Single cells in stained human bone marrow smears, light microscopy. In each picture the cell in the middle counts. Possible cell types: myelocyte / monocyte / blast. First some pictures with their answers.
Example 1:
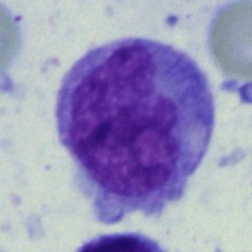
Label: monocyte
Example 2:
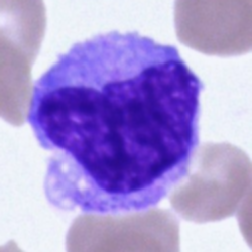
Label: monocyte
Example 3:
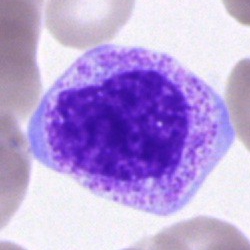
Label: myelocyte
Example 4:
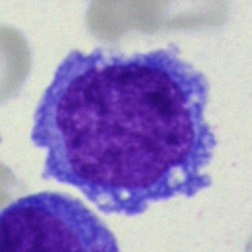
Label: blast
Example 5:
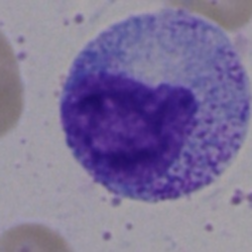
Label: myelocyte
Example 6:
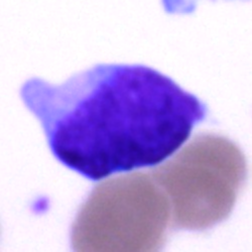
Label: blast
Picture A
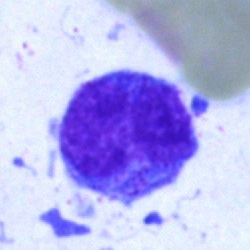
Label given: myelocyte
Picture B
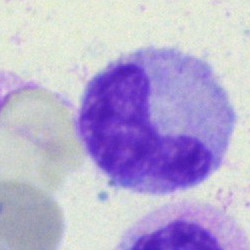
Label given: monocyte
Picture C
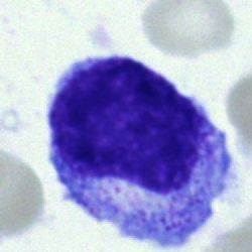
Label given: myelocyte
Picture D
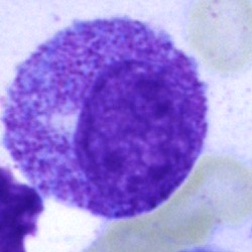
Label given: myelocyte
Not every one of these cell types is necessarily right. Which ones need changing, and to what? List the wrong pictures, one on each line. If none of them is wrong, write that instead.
A should be blast, not myelocyte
